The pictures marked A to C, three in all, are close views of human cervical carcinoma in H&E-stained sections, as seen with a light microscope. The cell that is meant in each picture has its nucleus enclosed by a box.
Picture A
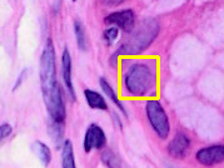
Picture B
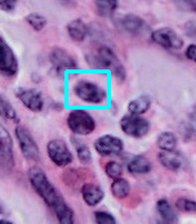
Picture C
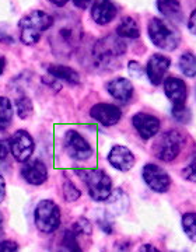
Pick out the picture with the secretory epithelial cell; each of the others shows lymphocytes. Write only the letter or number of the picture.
A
